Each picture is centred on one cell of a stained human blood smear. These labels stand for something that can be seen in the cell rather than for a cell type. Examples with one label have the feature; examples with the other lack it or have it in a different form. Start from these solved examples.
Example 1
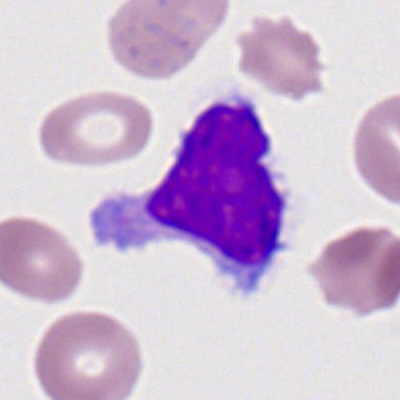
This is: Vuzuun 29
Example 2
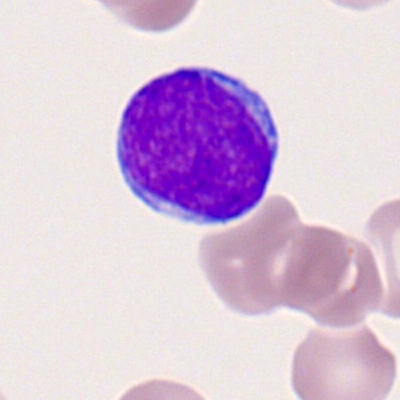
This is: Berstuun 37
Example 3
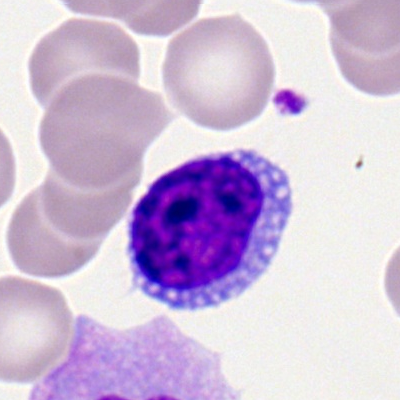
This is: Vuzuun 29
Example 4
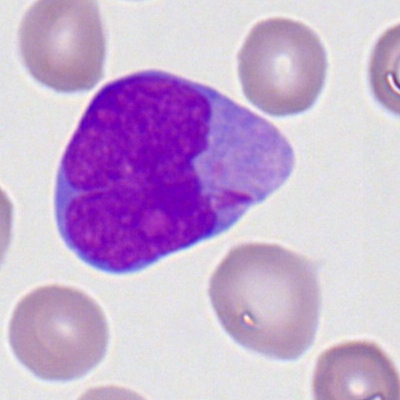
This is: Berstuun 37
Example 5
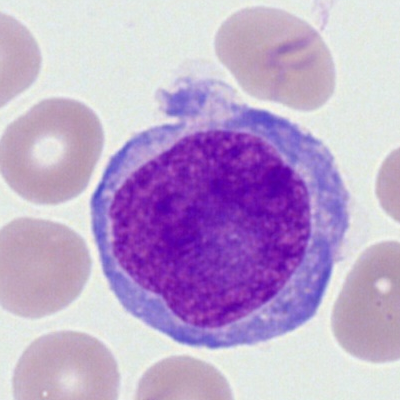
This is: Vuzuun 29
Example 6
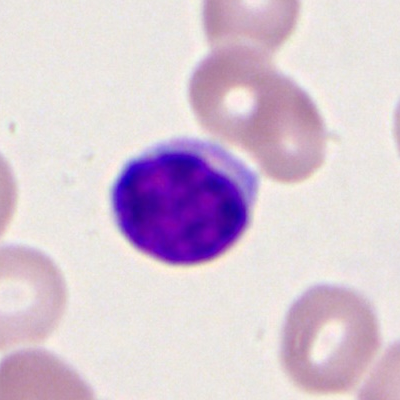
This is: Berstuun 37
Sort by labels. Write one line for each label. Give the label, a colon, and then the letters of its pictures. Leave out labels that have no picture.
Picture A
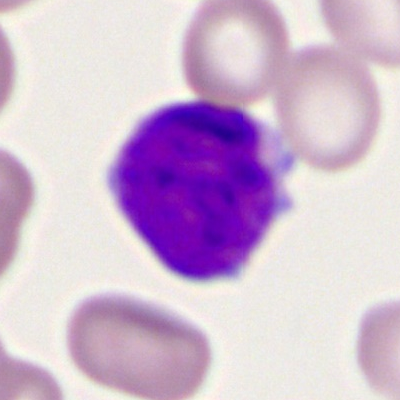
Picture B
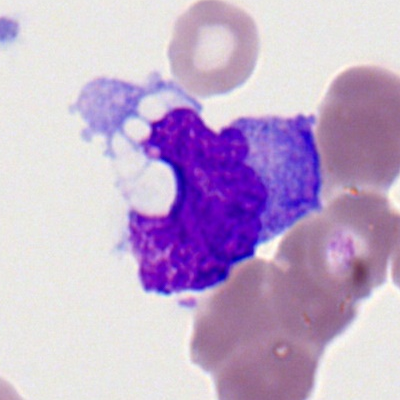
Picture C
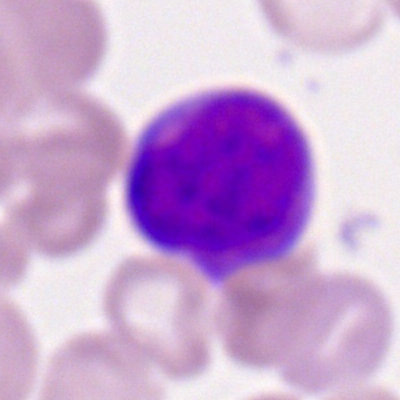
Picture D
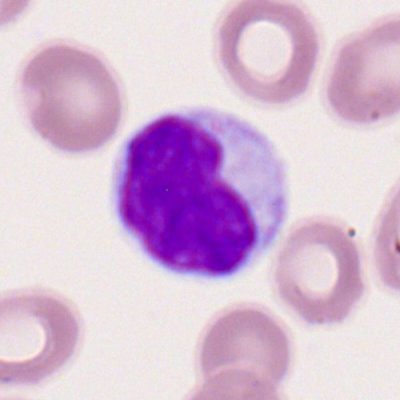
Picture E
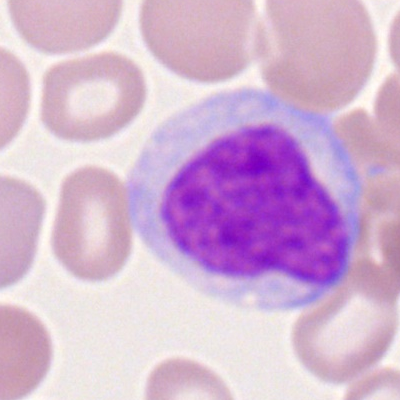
Vuzuun 29: A, B, C
Berstuun 37: D, E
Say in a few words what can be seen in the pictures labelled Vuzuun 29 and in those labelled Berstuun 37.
Vuzuun 29: ragged outline or projections; Berstuun 37: smooth outline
